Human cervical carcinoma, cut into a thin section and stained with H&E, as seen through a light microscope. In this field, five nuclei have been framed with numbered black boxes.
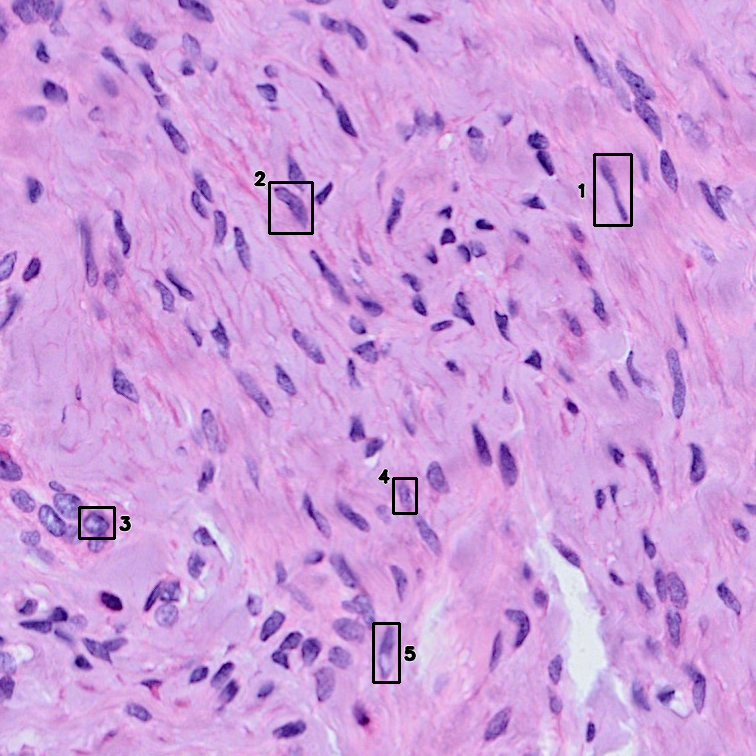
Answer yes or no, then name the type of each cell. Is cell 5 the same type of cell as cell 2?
Yes, among the marked cells, numbers 5 and 2 are both fibroblasts.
